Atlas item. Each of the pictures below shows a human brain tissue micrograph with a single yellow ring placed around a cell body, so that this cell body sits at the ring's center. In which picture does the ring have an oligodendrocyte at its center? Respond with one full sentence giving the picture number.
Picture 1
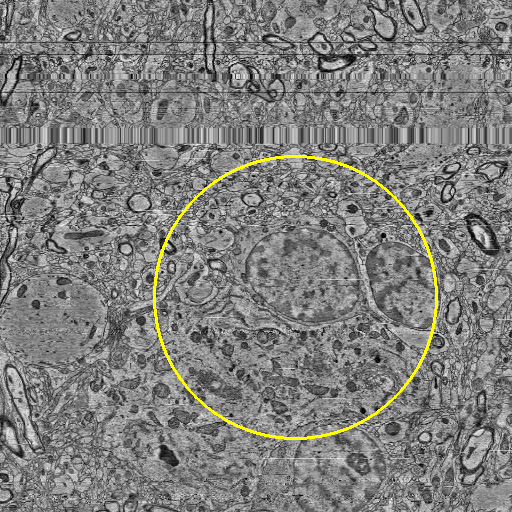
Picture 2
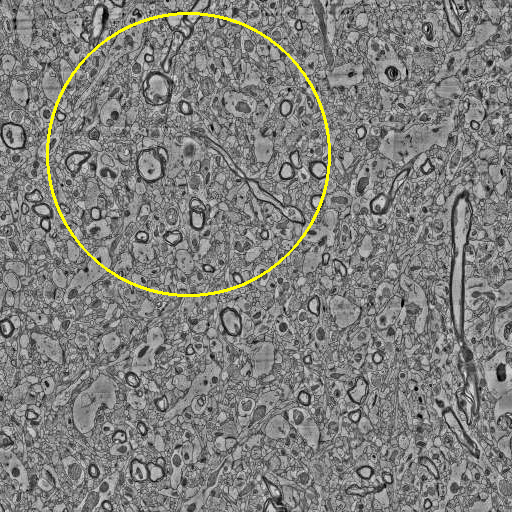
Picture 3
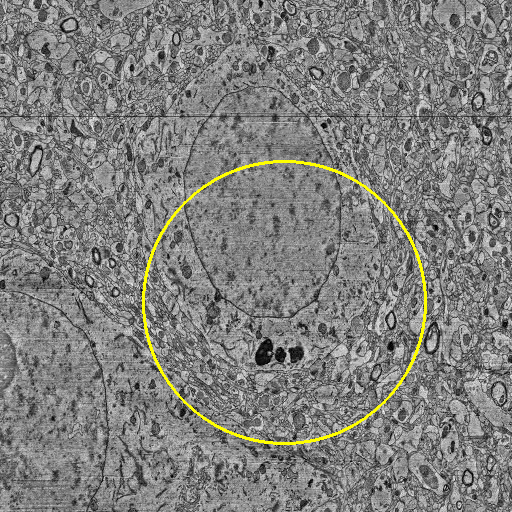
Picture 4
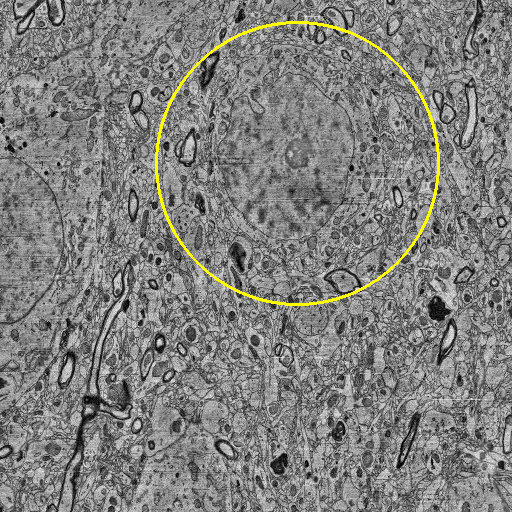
The cell at the ring's center that fits lies in picture 1.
